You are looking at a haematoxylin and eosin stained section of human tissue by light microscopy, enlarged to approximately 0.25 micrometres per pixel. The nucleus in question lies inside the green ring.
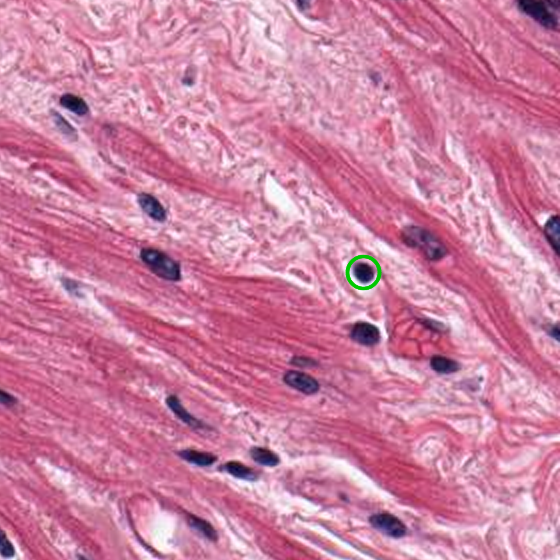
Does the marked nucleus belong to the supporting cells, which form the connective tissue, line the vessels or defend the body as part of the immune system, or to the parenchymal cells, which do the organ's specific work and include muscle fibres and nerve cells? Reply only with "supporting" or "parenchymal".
supporting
